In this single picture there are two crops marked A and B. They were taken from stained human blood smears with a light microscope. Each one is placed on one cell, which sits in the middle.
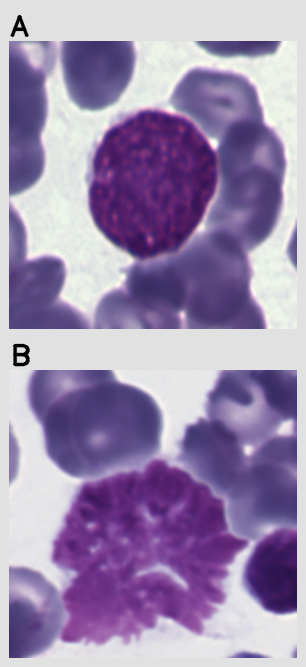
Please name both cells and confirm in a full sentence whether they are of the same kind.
No, crop B holds a smudge cell, while crop A holds a myeloblast.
